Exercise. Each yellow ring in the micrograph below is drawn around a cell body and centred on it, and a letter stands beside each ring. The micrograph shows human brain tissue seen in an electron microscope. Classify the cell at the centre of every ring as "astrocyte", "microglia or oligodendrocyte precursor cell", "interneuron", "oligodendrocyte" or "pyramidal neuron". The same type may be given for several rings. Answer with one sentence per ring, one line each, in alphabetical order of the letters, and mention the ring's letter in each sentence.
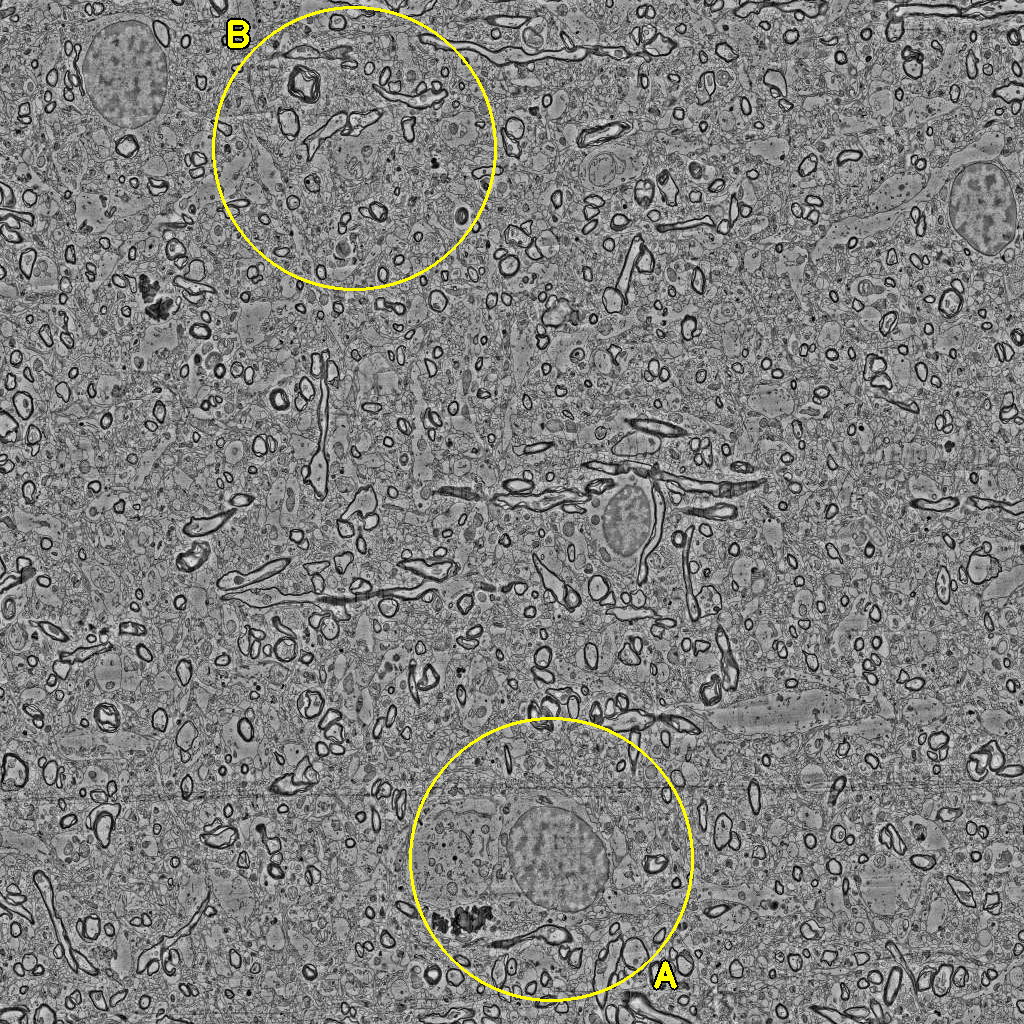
In ring A, the central cell is an oligodendrocyte.
In ring B, the central cell is an oligodendrocyte.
